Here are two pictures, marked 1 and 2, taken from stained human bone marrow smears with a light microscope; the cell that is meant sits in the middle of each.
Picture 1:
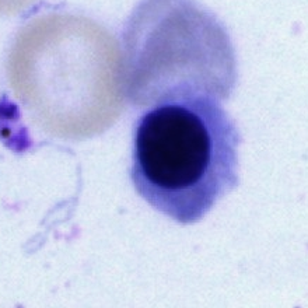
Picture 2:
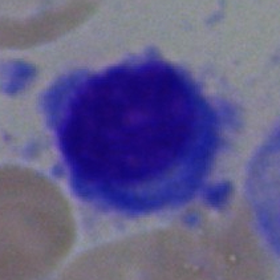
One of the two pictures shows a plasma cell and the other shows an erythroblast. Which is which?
1: erythroblast
2: plasma cell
